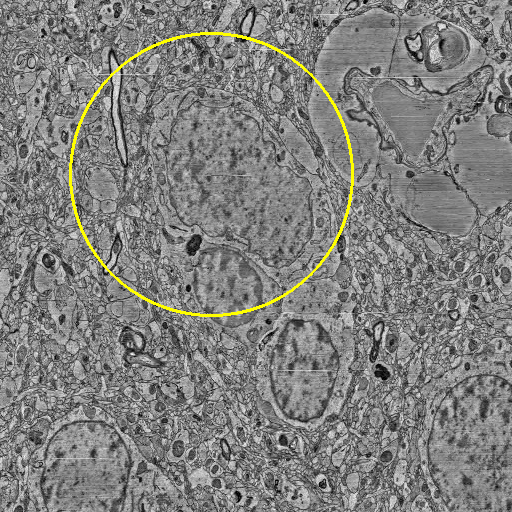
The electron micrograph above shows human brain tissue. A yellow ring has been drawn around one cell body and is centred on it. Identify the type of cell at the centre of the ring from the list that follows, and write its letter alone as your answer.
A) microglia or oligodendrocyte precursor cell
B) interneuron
B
